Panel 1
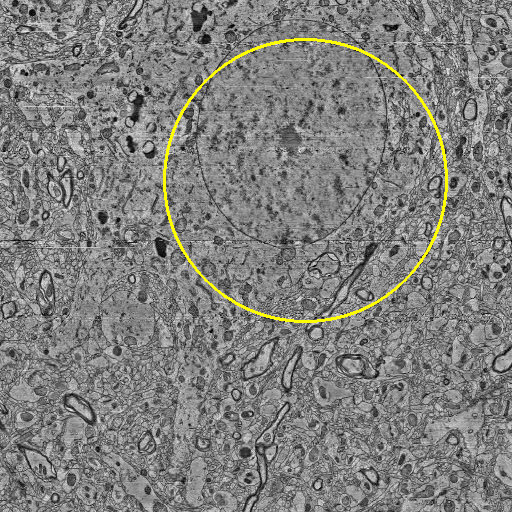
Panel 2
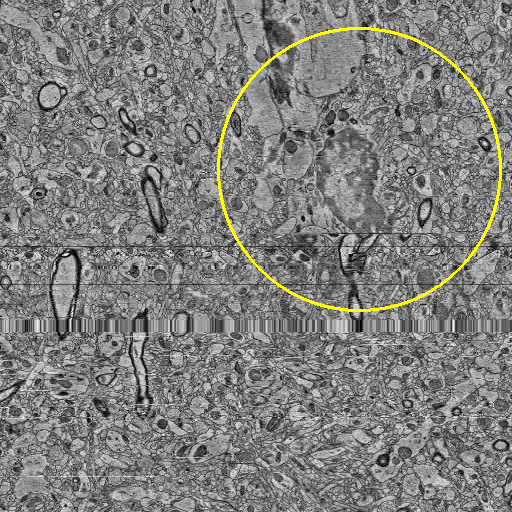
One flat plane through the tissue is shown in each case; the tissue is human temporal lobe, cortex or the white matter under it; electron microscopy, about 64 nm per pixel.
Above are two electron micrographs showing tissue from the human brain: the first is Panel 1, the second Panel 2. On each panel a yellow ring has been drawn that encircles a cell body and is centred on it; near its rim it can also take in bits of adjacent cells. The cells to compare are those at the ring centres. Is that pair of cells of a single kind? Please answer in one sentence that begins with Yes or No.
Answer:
No, the ring-centred cells of Panel 1 and Panel 2 belong to two kinds.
